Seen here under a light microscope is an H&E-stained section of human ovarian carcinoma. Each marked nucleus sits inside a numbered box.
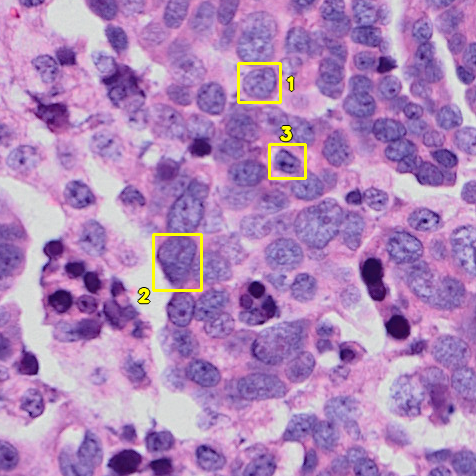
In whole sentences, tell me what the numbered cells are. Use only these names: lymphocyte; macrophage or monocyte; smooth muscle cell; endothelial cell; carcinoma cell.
Cell 1 is a carcinoma cell, cell 2 is a carcinoma cell and cell 3 is a macrophage or monocyte.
